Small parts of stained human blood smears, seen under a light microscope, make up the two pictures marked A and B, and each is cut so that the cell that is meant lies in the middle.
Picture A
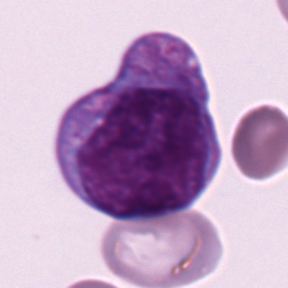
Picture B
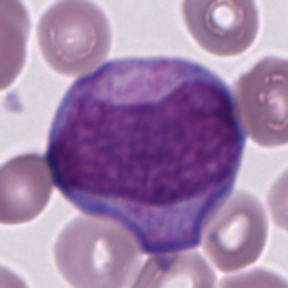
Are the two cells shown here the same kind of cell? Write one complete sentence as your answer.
Yes, both cells are atypical promyelocytes.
